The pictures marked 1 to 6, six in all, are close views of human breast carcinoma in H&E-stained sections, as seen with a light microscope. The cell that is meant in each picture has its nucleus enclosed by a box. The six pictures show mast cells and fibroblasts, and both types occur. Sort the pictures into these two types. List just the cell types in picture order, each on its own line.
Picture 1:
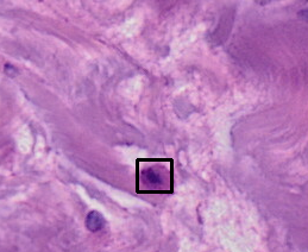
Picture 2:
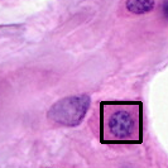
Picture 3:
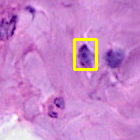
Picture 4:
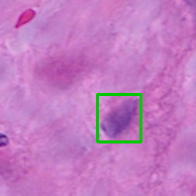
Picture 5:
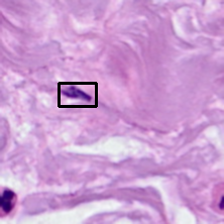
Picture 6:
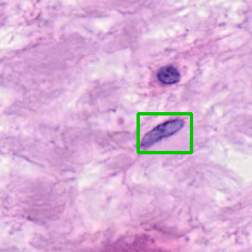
mast cell
mast cell
fibroblast
fibroblast
fibroblast
fibroblast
